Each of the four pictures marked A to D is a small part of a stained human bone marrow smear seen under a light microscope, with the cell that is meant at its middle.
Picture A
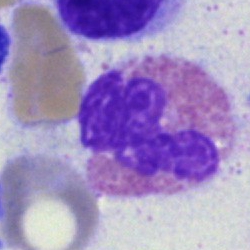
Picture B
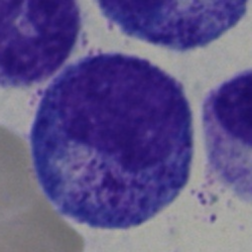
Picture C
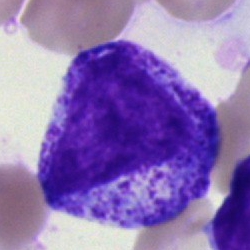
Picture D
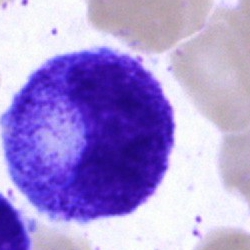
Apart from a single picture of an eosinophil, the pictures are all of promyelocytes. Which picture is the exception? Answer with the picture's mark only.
A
